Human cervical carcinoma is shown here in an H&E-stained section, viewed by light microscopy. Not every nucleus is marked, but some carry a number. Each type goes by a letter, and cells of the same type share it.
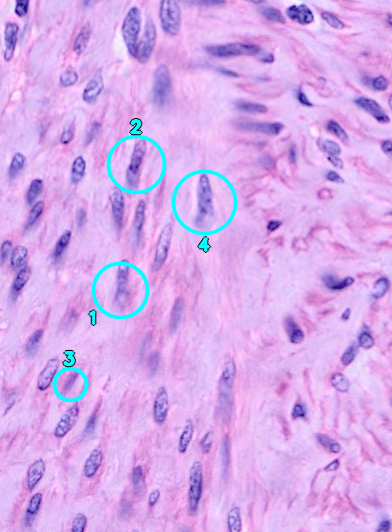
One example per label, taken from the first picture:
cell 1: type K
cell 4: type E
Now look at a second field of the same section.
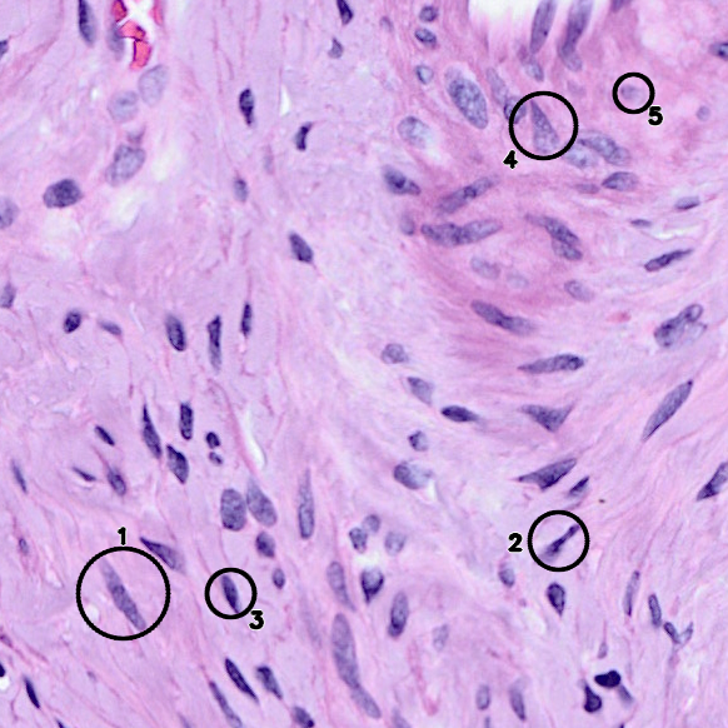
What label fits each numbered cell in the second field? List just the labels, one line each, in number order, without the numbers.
type E
type E
type E
type K
type K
